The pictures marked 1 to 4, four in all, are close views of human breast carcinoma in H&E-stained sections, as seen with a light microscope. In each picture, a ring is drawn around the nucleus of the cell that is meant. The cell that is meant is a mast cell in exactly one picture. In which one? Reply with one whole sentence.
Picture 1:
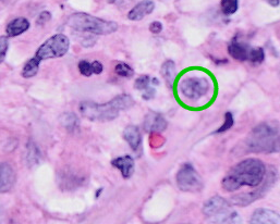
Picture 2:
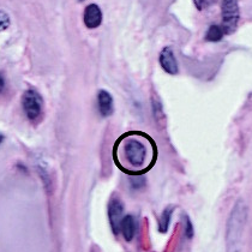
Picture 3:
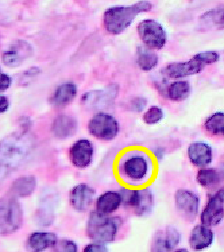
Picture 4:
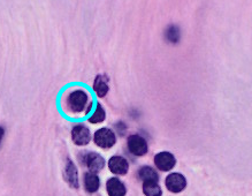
The picture with the mast cell is 2.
